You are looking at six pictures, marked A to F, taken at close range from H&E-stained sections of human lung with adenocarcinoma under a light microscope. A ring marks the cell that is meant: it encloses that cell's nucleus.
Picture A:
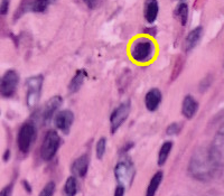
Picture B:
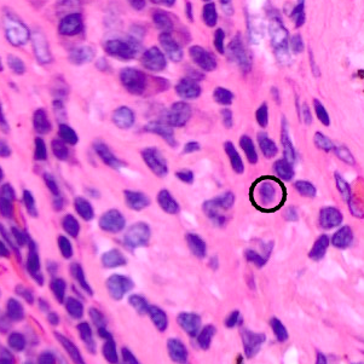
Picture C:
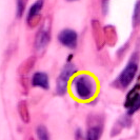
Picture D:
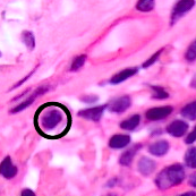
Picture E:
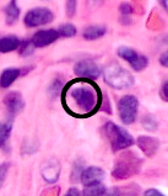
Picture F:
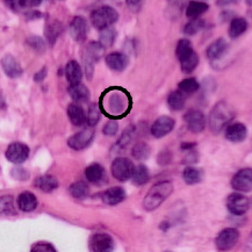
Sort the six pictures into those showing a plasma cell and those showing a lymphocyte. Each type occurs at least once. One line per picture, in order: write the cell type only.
plasma cell
lymphocyte
plasma cell
lymphocyte
plasma cell
lymphocyte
